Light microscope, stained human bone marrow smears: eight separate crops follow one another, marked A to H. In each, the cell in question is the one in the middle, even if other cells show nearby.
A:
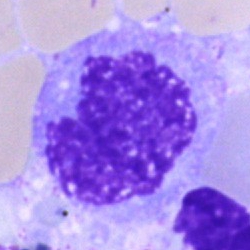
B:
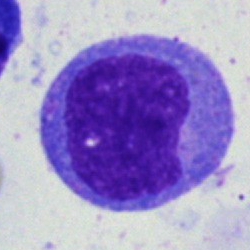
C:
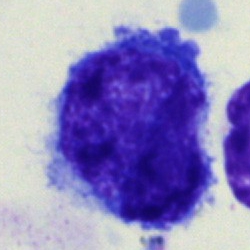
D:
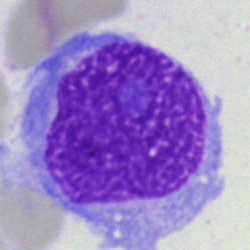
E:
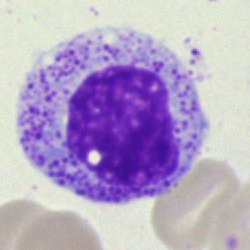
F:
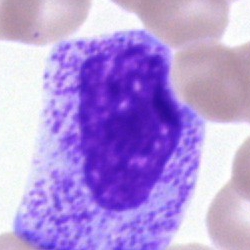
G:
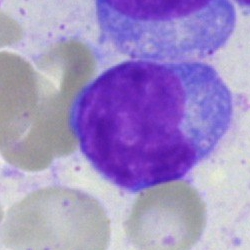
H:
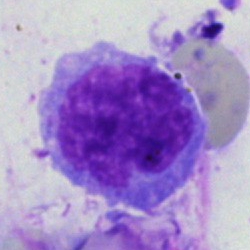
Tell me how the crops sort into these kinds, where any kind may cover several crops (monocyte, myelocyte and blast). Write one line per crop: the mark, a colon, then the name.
A: monocyte
B: monocyte
C: blast
D: blast
E: myelocyte
F: myelocyte
G: blast
H: monocyte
